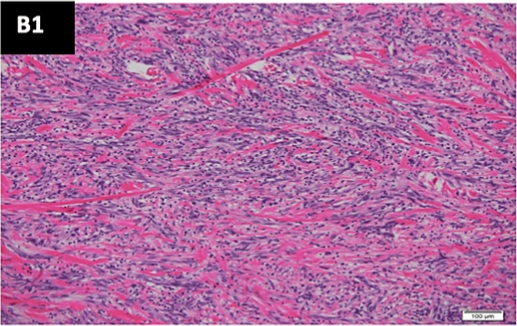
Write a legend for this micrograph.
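Tumor margin with tumor cells interspersed with fibrous stroma. Densely cellular field of cells with dark, elongated to oval purple nuclei arranged in loose interlacing streams. Between them run numerous bright pink, thick, straight or slightly wavy collagen bundles of varying length. A few small thin-walled vessel spaces are scattered through the field. Nuclei vary in size and shape, and no orderly layering or glandular arrangement is seen.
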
